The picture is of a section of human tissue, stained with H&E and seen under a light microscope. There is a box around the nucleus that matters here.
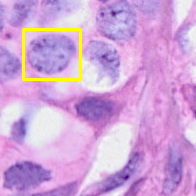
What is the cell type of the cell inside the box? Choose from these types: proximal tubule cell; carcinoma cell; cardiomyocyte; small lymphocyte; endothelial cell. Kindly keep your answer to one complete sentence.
It is a carcinoma cell that the cell inside the box represents.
